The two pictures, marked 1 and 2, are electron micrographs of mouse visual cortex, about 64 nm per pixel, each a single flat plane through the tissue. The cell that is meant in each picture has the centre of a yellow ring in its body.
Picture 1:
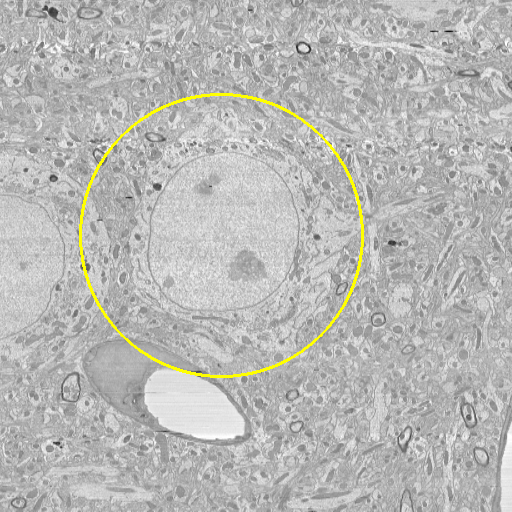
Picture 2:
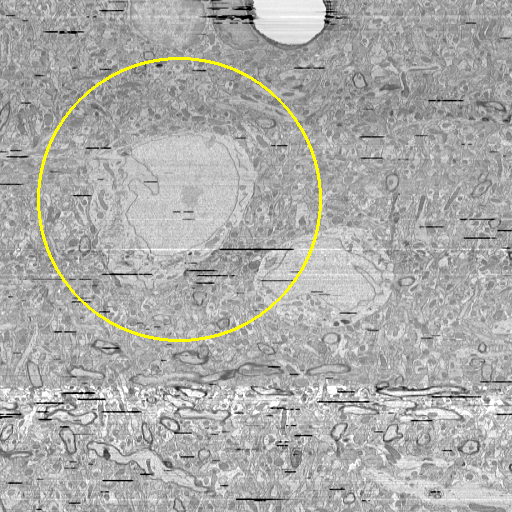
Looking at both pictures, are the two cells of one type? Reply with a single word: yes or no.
yes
